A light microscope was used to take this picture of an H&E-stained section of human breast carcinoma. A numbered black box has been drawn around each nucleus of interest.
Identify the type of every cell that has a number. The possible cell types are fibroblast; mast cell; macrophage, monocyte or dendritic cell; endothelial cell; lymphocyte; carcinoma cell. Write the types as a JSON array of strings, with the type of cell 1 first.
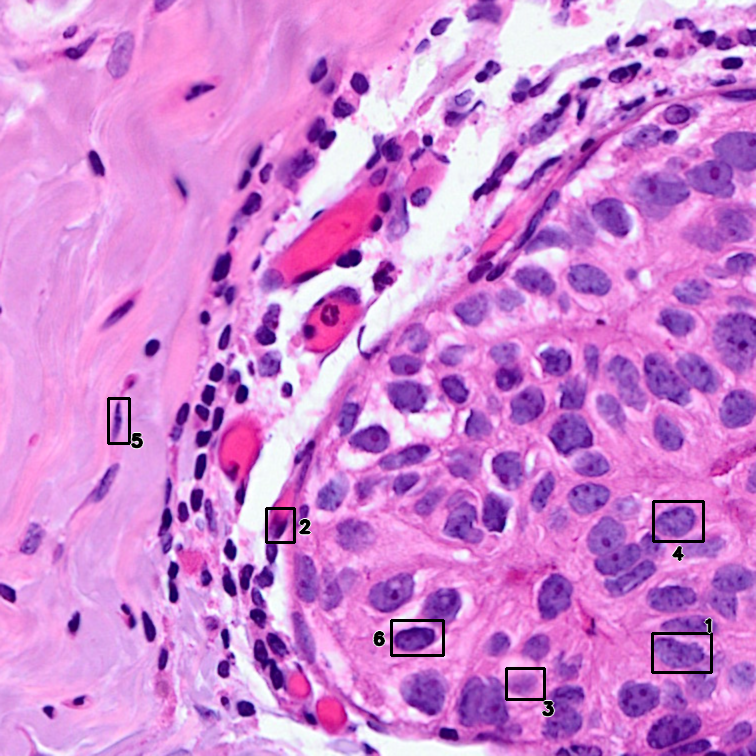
["carcinoma cell", "endothelial cell", "carcinoma cell", "carcinoma cell", "fibroblast", "carcinoma cell"]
